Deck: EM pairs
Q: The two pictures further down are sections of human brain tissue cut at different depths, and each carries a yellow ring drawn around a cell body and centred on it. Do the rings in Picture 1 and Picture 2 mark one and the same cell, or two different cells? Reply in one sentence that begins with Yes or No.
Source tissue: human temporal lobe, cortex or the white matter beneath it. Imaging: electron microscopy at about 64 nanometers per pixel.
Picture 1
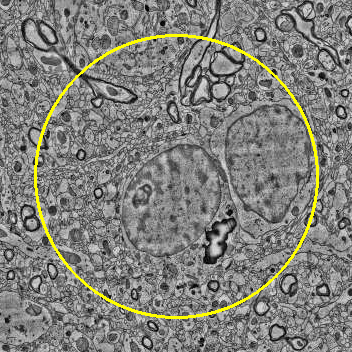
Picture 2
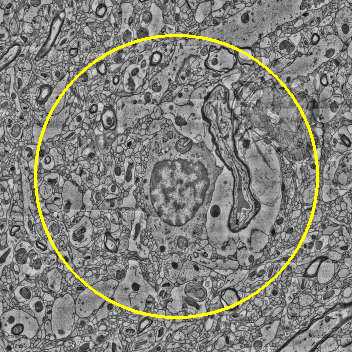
No, the rings surround different cells rather than one cell.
